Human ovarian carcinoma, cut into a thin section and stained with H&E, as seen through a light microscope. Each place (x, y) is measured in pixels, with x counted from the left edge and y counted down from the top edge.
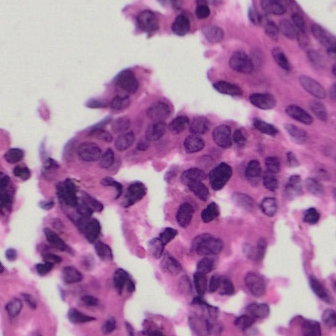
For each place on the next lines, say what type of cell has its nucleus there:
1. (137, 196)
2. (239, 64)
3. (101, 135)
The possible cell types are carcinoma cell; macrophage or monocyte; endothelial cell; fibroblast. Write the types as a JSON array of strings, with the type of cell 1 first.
["macrophage or monocyte", "carcinoma cell", "carcinoma cell"]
